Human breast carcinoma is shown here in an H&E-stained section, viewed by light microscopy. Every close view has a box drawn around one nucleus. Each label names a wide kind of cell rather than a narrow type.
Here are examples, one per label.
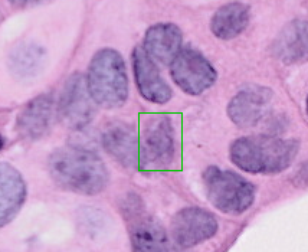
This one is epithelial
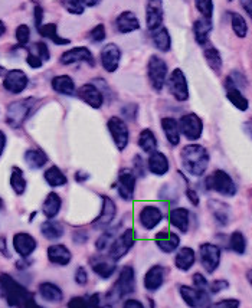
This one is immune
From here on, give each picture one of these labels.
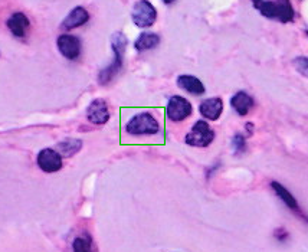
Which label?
immune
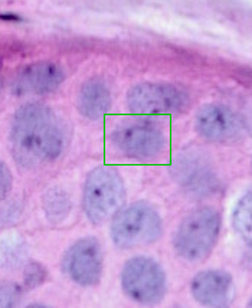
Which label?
epithelial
